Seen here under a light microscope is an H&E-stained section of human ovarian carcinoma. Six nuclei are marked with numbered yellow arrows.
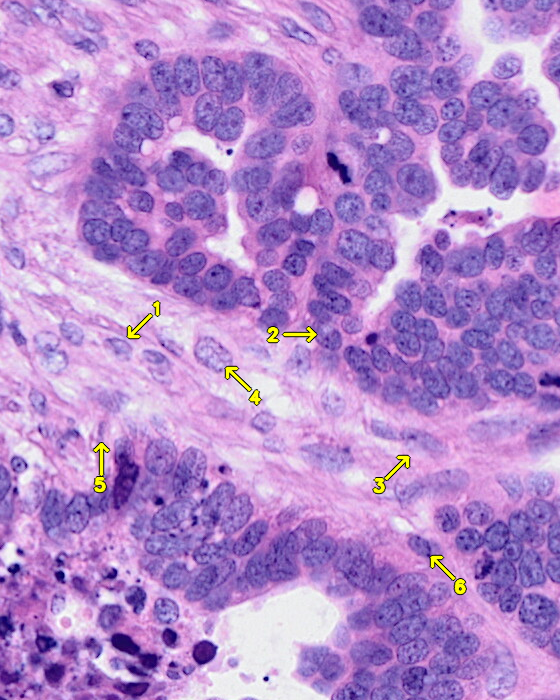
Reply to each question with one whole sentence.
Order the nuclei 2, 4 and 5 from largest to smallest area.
By area, largest first, they run 4, 2, 5.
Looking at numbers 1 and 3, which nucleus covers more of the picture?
The larger nucleus is 3, at roughly 2 times the area of 1.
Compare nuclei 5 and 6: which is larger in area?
Nucleus 6 is the larger one, covering about 3 times the area of nucleus 5.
